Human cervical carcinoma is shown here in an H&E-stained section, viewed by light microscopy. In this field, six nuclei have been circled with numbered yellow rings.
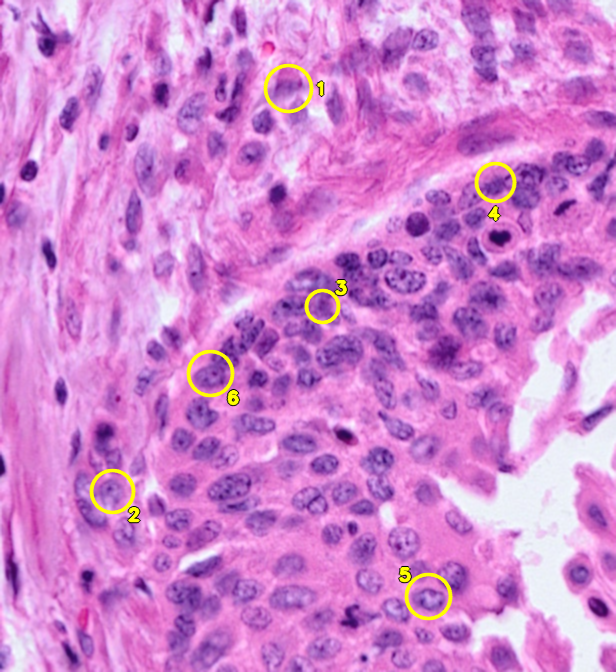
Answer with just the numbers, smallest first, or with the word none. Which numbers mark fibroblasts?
1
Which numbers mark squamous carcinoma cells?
3, 4, 5, 6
